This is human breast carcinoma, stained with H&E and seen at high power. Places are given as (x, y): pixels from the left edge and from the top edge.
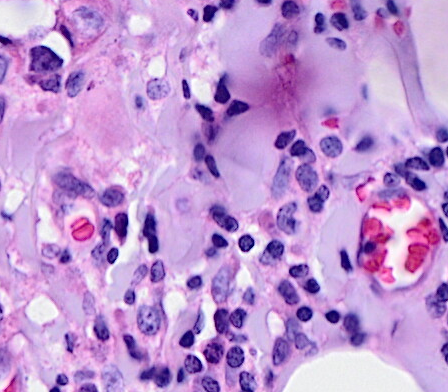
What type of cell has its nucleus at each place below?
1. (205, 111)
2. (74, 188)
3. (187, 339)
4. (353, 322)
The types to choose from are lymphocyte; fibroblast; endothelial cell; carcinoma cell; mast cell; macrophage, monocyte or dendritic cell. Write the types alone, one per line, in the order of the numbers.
lymphocyte
endothelial cell
lymphocyte
lymphocyte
